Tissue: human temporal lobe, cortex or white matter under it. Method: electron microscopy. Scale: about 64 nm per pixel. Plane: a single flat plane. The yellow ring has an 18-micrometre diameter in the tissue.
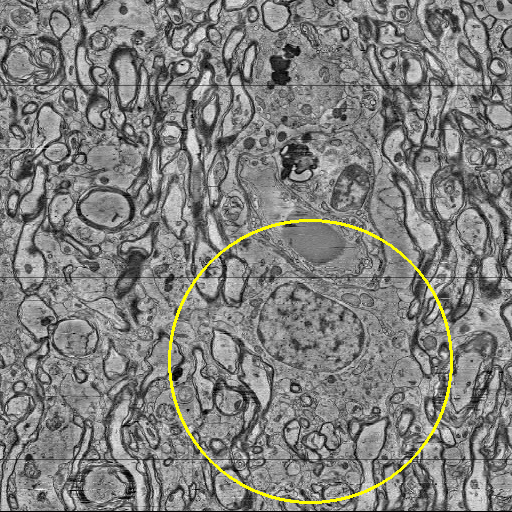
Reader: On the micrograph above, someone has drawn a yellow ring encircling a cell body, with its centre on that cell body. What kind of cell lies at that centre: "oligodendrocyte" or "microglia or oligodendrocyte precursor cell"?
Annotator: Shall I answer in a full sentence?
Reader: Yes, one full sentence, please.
Here a microglial cell or oligodendrocyte precursor cell sits at the centre of the yellow ring drawn on the micrograph.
